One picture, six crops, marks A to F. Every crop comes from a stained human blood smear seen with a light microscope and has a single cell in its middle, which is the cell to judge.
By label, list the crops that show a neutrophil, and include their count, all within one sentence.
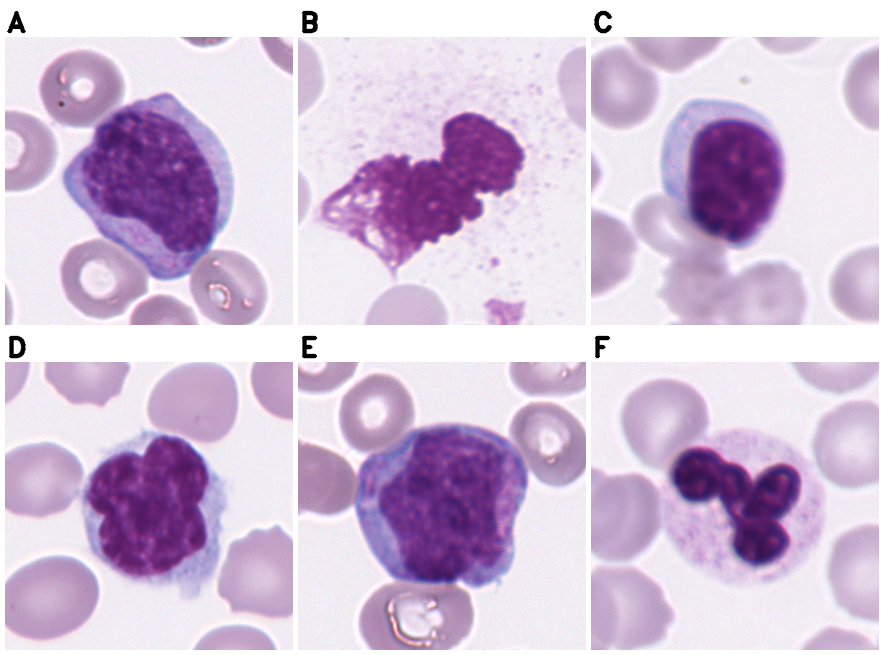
Of all the crops given, a neutrophil is shown by crop F alone, so the count is one.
